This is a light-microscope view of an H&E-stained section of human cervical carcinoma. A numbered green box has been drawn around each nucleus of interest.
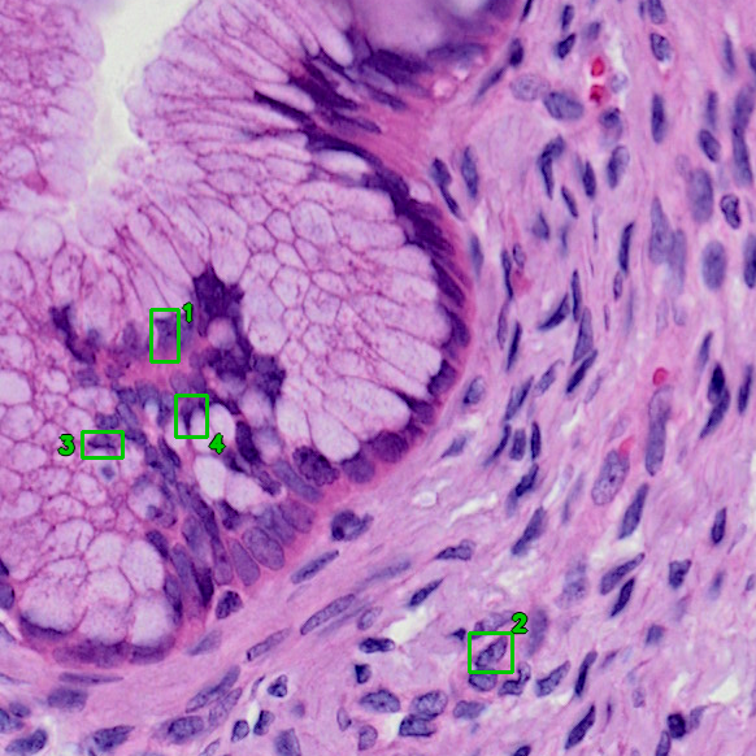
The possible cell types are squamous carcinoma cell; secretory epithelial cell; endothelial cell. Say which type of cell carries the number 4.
secretory epithelial cell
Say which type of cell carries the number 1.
secretory epithelial cell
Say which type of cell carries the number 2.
endothelial cell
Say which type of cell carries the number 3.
secretory epithelial cell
